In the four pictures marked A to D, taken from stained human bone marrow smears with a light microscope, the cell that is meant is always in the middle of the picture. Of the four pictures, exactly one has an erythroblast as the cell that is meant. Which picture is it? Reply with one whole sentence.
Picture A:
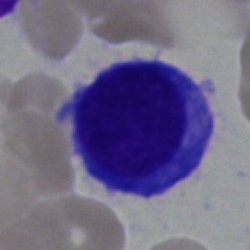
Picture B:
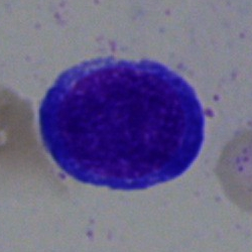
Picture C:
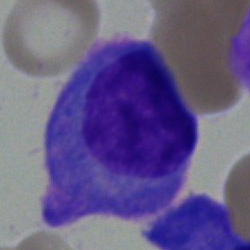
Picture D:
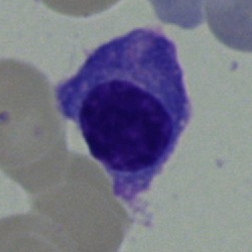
The picture with the erythroblast is B.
